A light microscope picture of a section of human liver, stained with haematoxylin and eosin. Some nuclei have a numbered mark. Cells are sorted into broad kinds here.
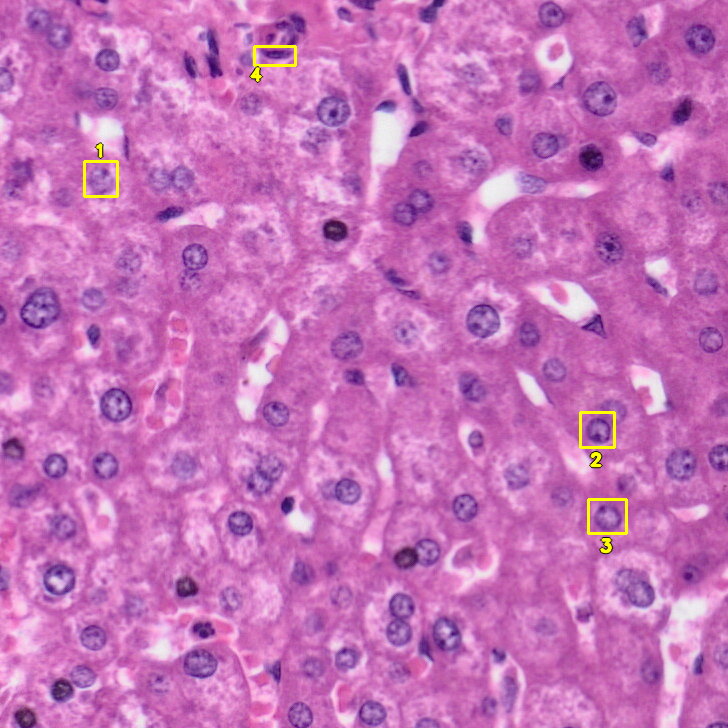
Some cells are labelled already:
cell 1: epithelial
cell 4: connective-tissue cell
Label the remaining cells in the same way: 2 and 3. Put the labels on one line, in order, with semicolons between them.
epithelial; epithelial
